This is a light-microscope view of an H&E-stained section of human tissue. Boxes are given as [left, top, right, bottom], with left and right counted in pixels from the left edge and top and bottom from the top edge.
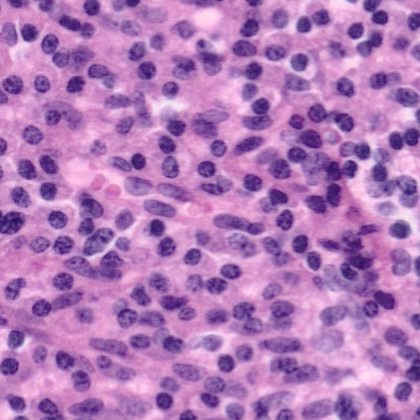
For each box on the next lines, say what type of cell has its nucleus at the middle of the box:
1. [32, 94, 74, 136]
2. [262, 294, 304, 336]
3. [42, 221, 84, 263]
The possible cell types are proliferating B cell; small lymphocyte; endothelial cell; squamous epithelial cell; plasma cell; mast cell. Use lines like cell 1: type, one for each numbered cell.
cell 1: plasma cell
cell 2: squamous epithelial cell
cell 3: plasma cell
